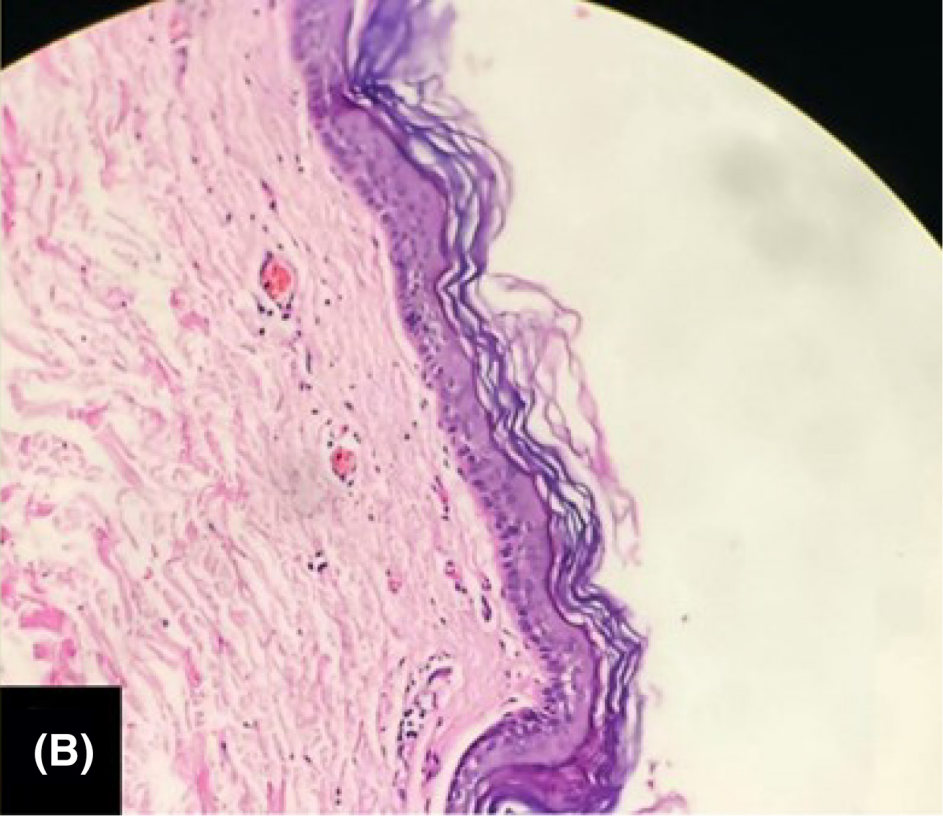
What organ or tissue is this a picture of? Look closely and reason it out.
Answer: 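A multilayered purple epithelium runs along one edge of the tissue. Flattened cells and wavy laminated layers lie at its free surface. Pink fibrous connective tissue lies beneath it. On this evidence: stratified squamous epithelium.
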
